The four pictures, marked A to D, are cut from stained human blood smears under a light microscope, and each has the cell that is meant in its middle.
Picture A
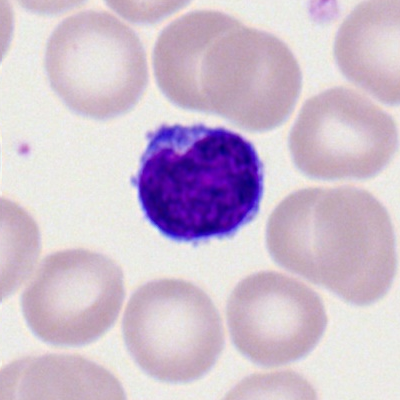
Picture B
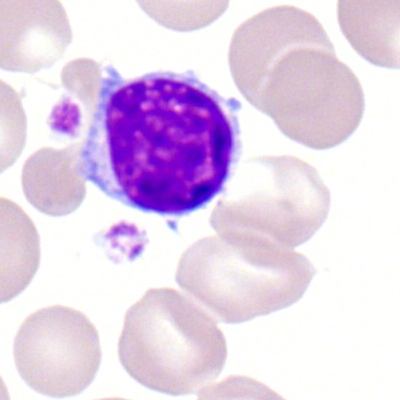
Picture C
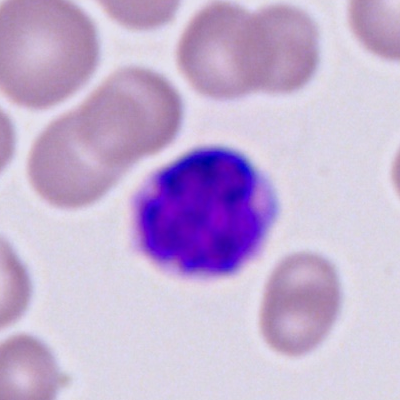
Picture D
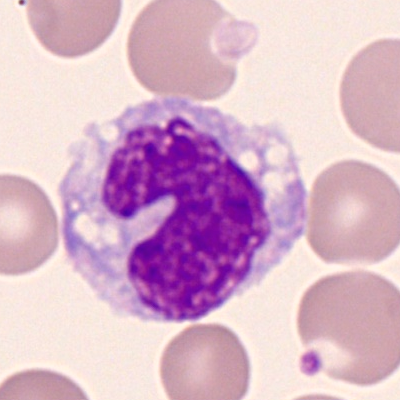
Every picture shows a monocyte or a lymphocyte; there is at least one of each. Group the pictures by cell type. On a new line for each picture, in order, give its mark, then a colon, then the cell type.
A: lymphocyte
B: lymphocyte
C: lymphocyte
D: monocyte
